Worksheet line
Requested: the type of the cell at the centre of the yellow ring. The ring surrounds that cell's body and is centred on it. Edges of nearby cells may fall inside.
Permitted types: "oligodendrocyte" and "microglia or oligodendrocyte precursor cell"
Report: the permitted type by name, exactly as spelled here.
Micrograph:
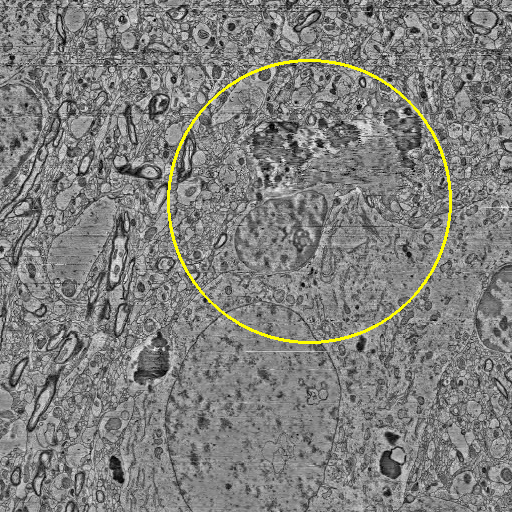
oligodendrocyte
